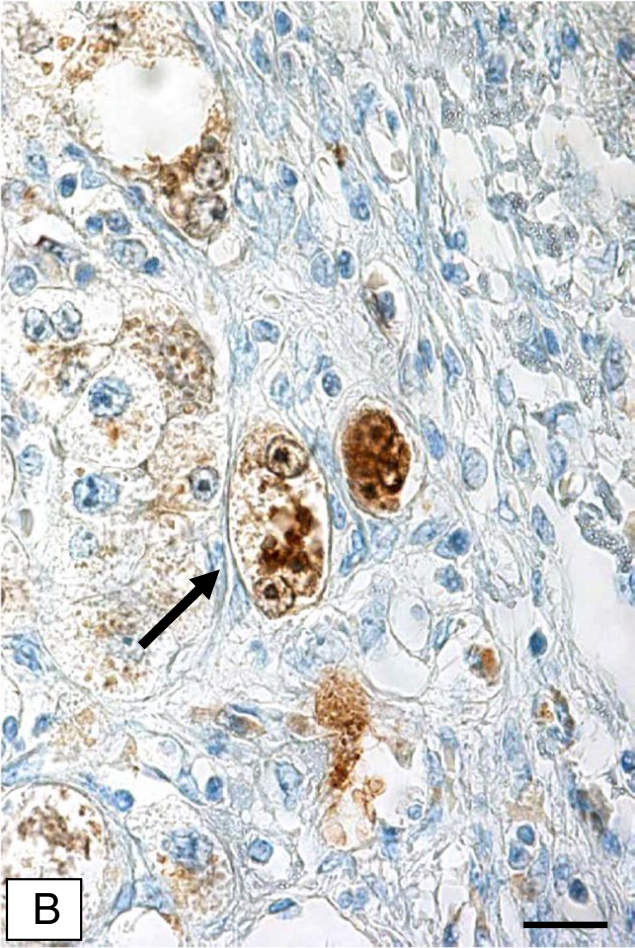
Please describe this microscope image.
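Liver tissue showing large, enlarged hepatocytes lying singly or in small groups within a fibrous stroma. The hepatocytes are round to oval, with abundant pale cytoplasm and round nuclei, some of which have prominent nucleoli. Several hepatocytes contain brown granular or coarsely clumped material in their cytoplasm, and some of this material forms dense irregular inclusions. The stroma between them holds many smaller cells with elongated or oval blue nuclei. Some hepatocytes are surrounded by clear spaces that separate them from the stroma.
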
